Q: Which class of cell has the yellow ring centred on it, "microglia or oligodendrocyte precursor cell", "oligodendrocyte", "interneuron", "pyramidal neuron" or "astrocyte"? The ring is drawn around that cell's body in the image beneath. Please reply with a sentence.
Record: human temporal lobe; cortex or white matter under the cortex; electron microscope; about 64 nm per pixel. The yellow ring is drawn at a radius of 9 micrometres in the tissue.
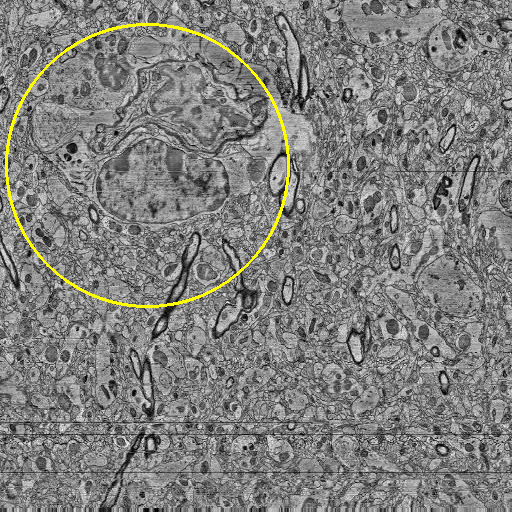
It is centred on a microglial cell or oligodendrocyte precursor cell.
